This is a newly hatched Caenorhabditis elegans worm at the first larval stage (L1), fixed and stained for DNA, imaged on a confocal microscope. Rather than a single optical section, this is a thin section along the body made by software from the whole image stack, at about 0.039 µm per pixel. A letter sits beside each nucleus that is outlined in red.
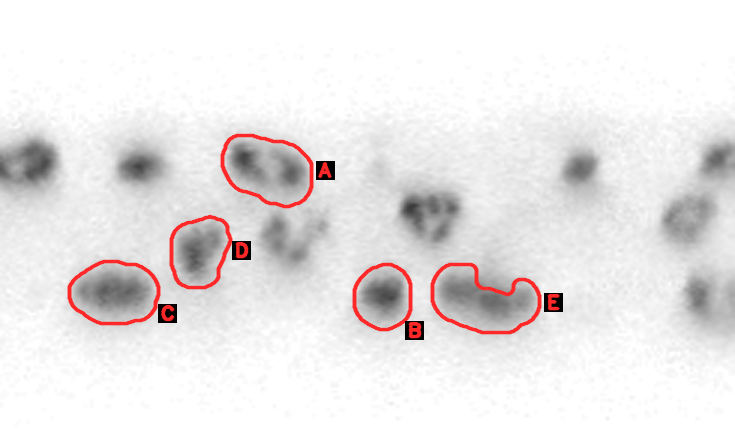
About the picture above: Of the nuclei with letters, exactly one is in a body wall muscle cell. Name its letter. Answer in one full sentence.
Of the marked nuclei, E is the one in a body wall muscle cell.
